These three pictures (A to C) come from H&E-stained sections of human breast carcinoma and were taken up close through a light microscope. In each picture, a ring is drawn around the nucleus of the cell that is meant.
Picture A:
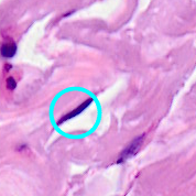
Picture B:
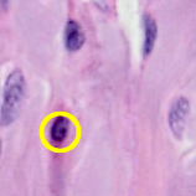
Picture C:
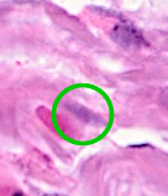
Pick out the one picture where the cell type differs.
B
